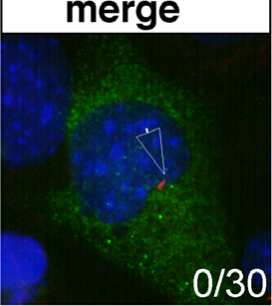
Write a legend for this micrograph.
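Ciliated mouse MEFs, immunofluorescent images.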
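A short red rod, the primary cilium, lies at the lower edge of the nucleus, and an open white arrowhead points at its tip, which carries no green. Parts of neighbouring blue nuclei are seen at the margins.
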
